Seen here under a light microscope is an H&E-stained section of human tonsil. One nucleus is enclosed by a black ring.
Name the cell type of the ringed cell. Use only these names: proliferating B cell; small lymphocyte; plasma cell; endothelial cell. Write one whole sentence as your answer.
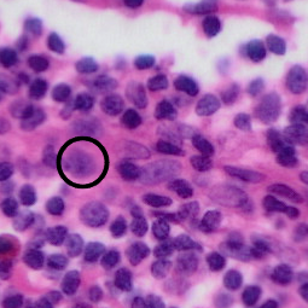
Microscopically, the ringed cell is categorized as an endothelial cell.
